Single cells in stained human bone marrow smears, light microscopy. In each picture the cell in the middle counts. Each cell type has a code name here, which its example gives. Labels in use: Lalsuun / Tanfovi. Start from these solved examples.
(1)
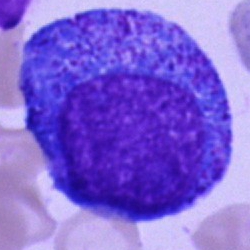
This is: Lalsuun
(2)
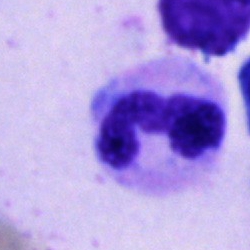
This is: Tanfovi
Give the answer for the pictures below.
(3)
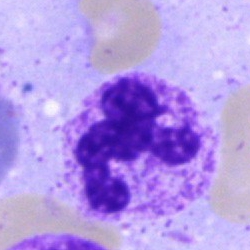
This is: Tanfovi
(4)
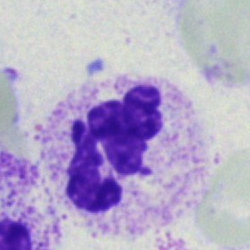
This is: Tanfovi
